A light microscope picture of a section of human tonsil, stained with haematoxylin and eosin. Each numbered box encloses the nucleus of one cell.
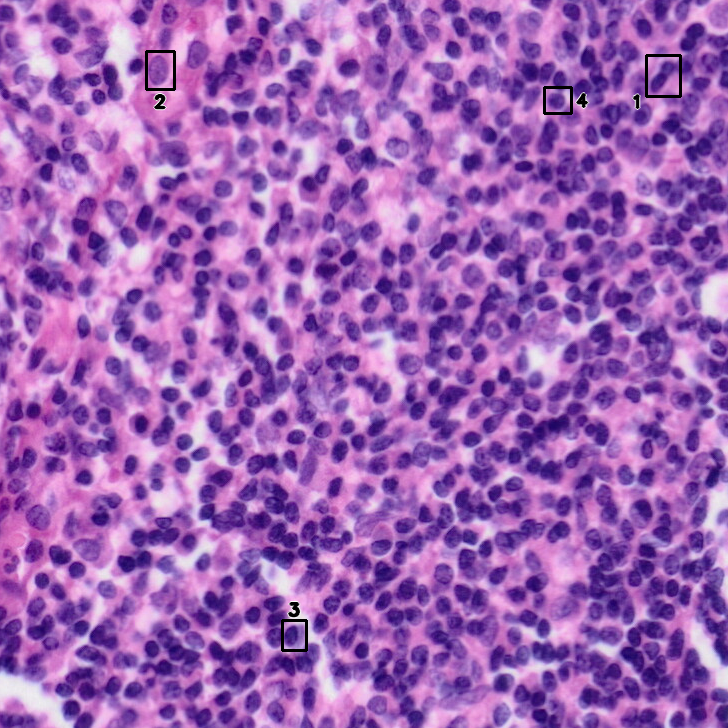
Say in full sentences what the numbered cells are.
Cells 1, 3 and 4 are small lymphocytes. Cell 2 is an endothelial cell.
